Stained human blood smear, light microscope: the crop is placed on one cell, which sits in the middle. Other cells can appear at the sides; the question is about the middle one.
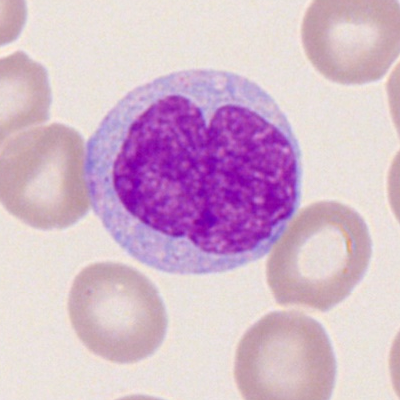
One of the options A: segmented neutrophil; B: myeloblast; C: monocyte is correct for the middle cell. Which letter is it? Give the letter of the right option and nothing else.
C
